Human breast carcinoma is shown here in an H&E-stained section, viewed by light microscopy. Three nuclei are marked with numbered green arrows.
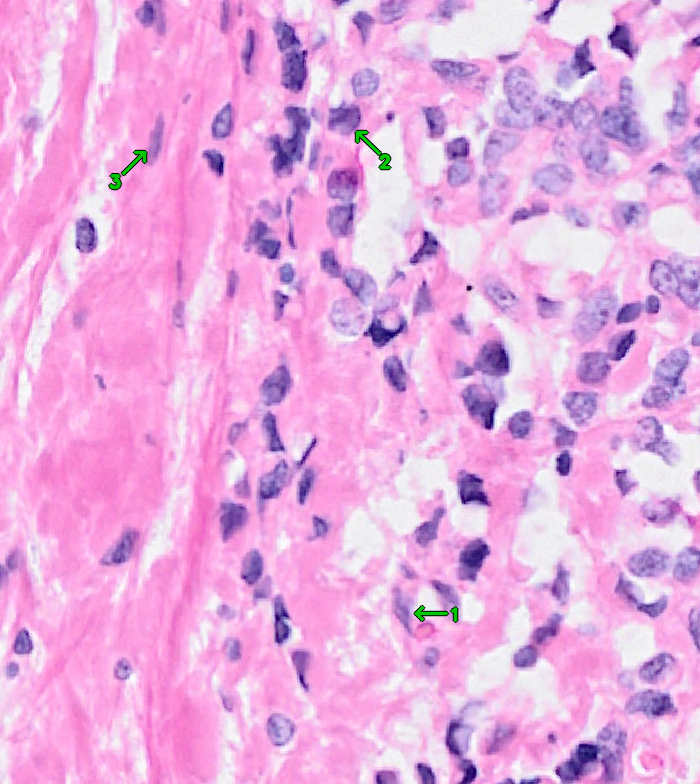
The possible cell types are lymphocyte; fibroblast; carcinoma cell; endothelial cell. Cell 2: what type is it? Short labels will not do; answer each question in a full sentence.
Identified as a carcinoma cell is the cell bearing the number 2.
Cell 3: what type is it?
That cell with number 3 is a fibroblast.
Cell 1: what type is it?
The numeral 1 marks an endothelial cell in this section.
